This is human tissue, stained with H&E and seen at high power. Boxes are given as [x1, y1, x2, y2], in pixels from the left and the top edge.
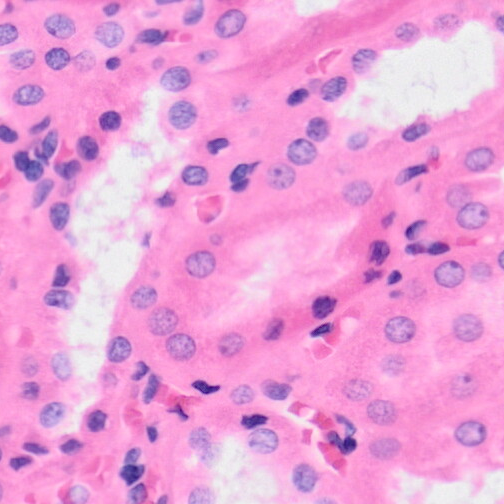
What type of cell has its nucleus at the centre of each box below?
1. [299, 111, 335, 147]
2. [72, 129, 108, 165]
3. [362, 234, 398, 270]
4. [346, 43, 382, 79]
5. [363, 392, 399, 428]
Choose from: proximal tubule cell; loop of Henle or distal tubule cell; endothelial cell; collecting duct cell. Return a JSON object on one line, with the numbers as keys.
{"1": "loop of Henle or distal tubule cell", "2": "loop of Henle or distal tubule cell", "3": "proximal tubule cell", "4": "loop of Henle or distal tubule cell", "5": "proximal tubule cell"}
